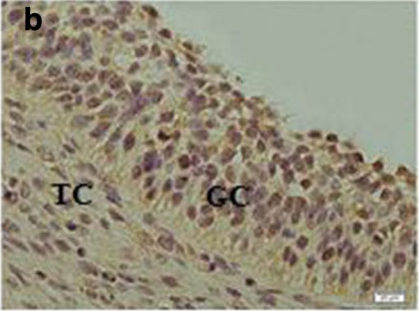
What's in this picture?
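This is the wall of a large ovarian follicle, with a thick, stratified granulosa cell layer bordering an empty antral space and a thinner thecal cell layer beneath it. The granulosa cells are closely packed, with rounded to oval nuclei and little cytoplasm, forming many cell layers. The thecal cells are elongated and spindle-shaped, with flattened nuclei lying parallel to the follicle wall. Brown staining lies over the granulosa cells, while the thecal layer is more weakly stained.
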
